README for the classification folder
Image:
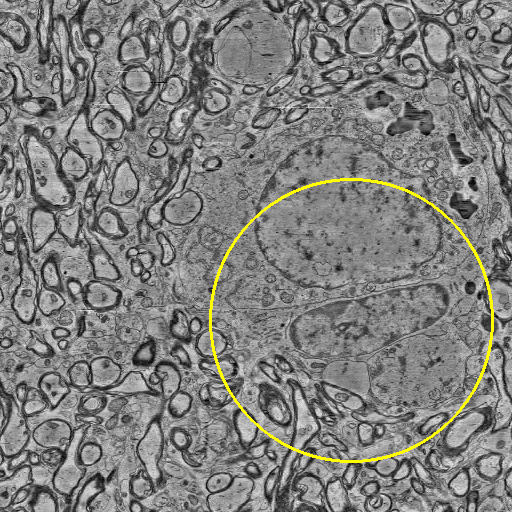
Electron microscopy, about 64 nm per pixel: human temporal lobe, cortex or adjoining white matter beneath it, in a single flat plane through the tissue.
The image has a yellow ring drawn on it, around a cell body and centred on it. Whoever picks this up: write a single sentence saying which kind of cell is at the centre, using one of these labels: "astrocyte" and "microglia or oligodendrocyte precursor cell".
This cell body is that of a microglial cell or oligodendrocyte precursor cell.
